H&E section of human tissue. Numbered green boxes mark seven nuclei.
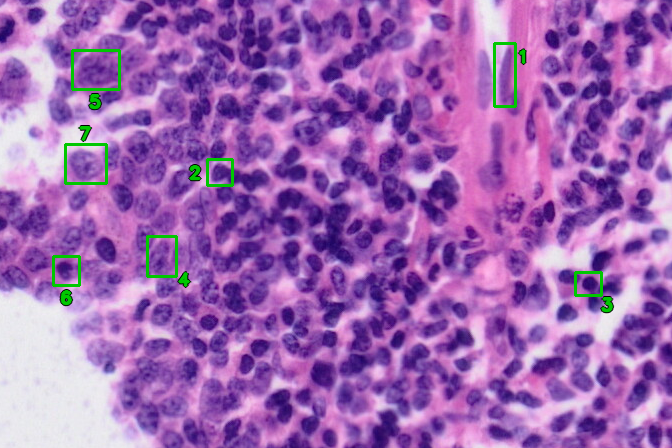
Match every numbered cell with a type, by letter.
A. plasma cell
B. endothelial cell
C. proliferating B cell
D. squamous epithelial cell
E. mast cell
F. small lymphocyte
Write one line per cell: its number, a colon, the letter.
1: B
2: F
3: F
4: C
5: C
6: C
7: C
